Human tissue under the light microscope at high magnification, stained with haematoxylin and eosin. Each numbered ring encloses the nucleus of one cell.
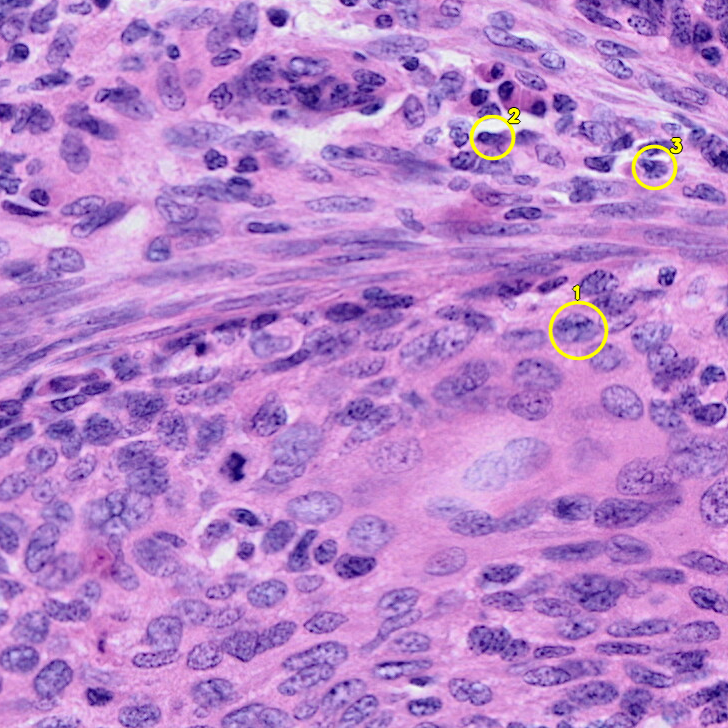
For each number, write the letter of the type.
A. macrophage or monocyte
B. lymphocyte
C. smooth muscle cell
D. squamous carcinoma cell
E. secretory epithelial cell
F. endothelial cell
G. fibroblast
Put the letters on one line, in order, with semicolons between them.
D; B; B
